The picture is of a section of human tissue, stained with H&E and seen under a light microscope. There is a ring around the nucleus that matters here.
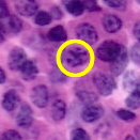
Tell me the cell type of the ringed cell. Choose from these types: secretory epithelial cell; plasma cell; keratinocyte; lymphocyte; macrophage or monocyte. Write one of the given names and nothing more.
plasma cell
